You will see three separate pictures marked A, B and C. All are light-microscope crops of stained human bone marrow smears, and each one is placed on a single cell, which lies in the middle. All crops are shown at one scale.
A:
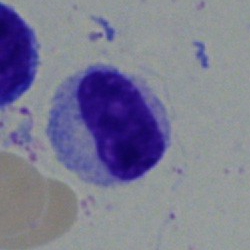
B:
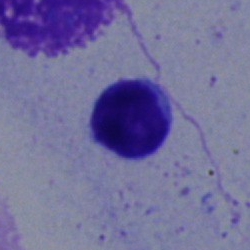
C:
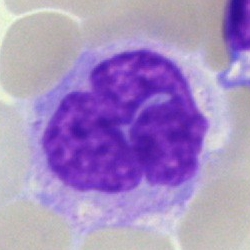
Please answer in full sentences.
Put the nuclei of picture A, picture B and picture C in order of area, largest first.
From the largest down, the order is C, A, B.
